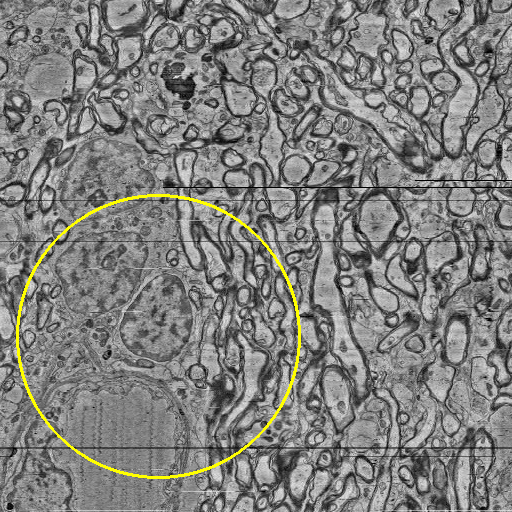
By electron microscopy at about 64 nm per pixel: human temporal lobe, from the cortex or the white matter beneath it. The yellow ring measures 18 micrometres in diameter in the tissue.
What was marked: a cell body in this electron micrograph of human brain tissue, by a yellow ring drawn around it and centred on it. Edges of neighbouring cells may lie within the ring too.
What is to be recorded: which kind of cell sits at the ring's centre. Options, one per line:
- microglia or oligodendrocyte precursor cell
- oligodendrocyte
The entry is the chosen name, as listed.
microglia or oligodendrocyte precursor cell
